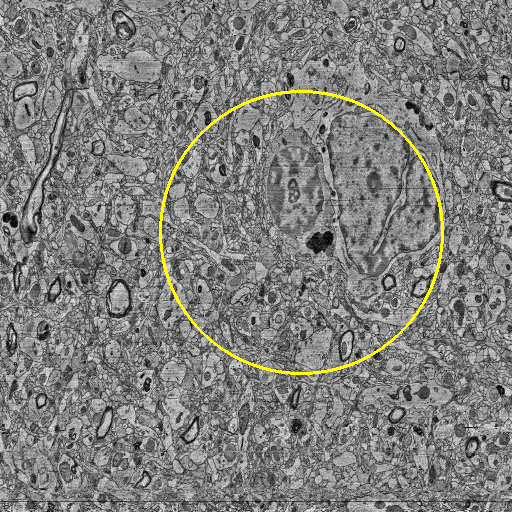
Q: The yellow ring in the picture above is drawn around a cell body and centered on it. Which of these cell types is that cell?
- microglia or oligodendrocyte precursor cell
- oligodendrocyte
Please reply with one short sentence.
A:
The cell body at the ring's center belongs to an oligodendrocyte.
